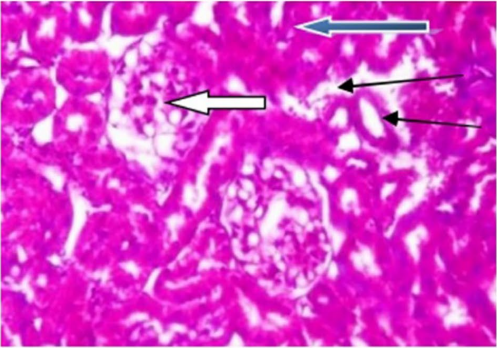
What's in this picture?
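This section of renal cortex shows two glomeruli among closely packed tubules. Each glomerulus is a rounded, lobulated tuft of capillary loops with scattered purple nuclei, surrounded by a narrow clear space and set apart from the neighbouring tissue. Around them lie many cross-sectioned tubules, lined by a single layer of deeply pink cuboidal cells with round purple nuclei and small, often slit-like lumens. The tissue is densely stained pink overall, with nuclei appearing as small purple dots throughout.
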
